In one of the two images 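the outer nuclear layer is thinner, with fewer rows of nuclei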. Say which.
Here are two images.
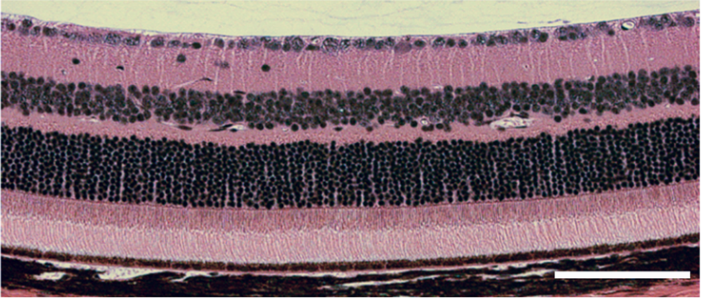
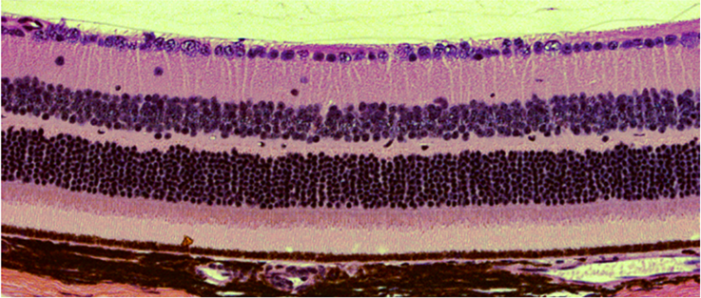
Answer: the second image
